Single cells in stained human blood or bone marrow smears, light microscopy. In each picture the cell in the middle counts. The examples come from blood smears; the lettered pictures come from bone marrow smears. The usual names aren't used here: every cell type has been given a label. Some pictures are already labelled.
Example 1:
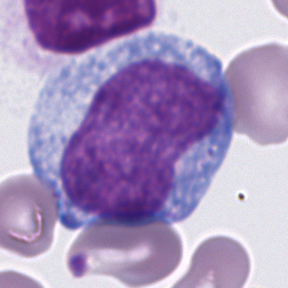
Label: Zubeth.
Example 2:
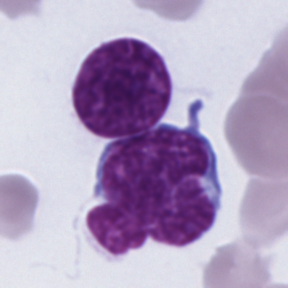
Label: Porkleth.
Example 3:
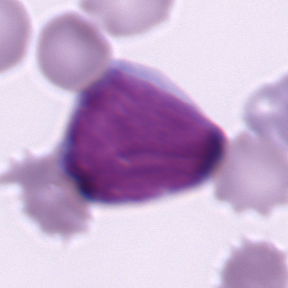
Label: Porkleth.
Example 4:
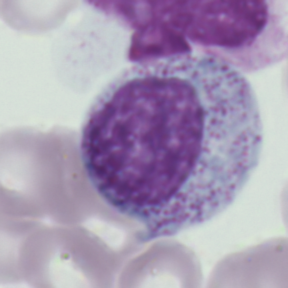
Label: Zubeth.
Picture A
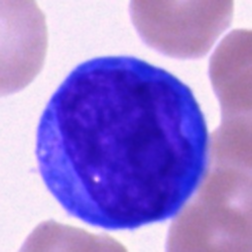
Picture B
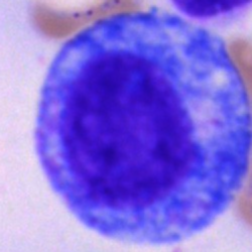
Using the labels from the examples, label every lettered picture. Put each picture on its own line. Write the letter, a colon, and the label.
A: Porkleth.
B: Zubeth.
